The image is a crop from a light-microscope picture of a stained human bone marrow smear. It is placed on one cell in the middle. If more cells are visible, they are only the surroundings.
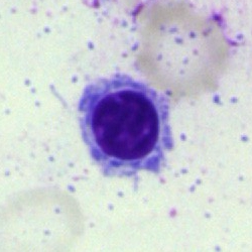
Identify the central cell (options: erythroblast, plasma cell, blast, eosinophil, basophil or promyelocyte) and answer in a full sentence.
Within this crop, an erythroblast occupies the central position.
